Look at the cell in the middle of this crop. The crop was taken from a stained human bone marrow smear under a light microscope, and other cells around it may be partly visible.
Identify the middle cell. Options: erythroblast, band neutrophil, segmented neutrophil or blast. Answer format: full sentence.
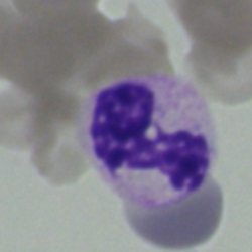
The target cell in the middle of the crop is a segmented neutrophil.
